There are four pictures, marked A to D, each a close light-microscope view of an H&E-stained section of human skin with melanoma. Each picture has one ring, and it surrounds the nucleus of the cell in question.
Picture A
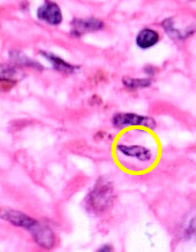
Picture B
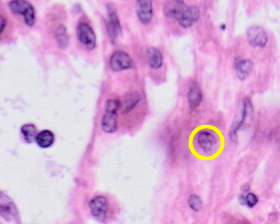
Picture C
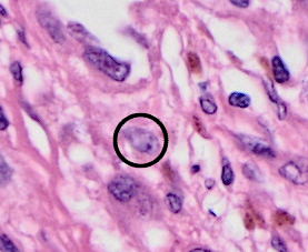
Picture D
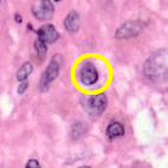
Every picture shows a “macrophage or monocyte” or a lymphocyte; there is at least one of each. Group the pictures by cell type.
A: lymphocyte
B: macrophage or monocyte
C: macrophage or monocyte
D: lymphocyte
